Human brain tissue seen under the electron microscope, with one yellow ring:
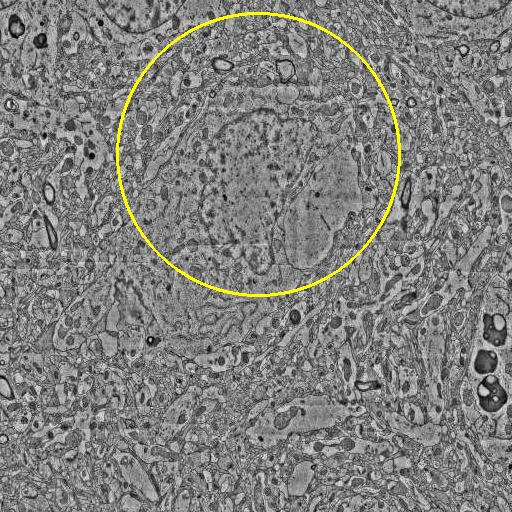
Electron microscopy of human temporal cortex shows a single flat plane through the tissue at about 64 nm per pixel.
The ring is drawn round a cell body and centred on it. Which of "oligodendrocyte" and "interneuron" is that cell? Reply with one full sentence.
The picture shows an interneuron at the very centre of the yellow ring.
